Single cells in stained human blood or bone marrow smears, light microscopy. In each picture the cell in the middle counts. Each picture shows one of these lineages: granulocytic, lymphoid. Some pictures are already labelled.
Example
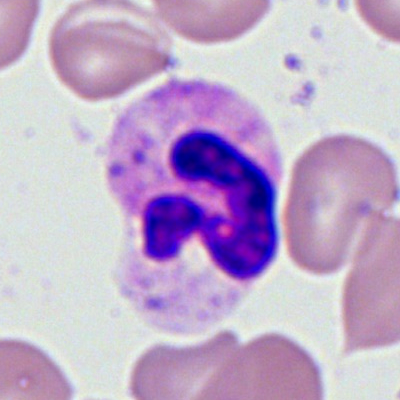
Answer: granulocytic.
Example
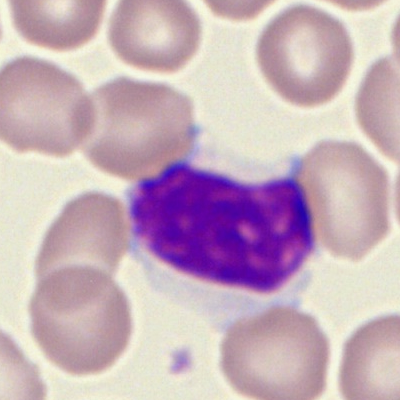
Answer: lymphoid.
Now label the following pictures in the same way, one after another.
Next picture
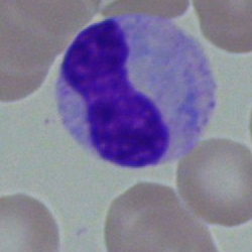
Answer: granulocytic.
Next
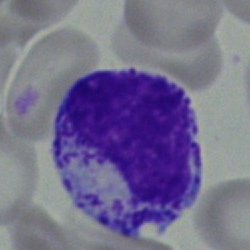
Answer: granulocytic.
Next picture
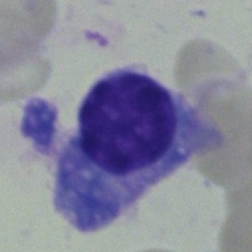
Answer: lymphoid.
